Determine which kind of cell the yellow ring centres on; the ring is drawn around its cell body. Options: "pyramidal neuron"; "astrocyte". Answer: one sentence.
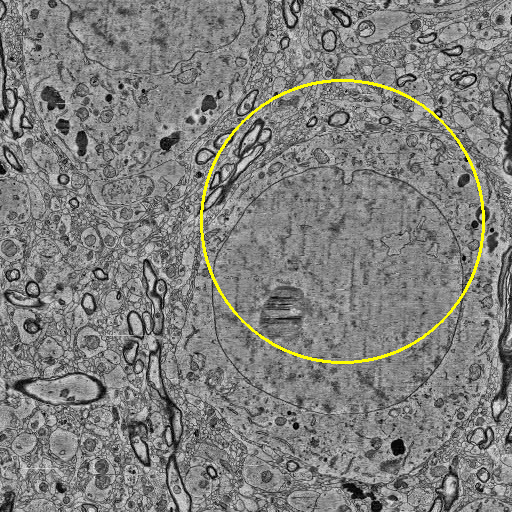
The ring centres on a pyramidal neuron.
